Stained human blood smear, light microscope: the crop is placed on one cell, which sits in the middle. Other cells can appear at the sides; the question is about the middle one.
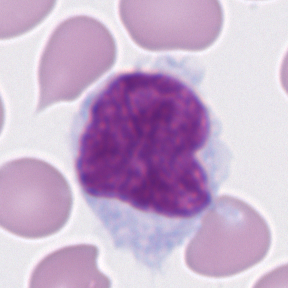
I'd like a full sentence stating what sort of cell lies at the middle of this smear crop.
Here the centrally located cell is a hairy cell.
